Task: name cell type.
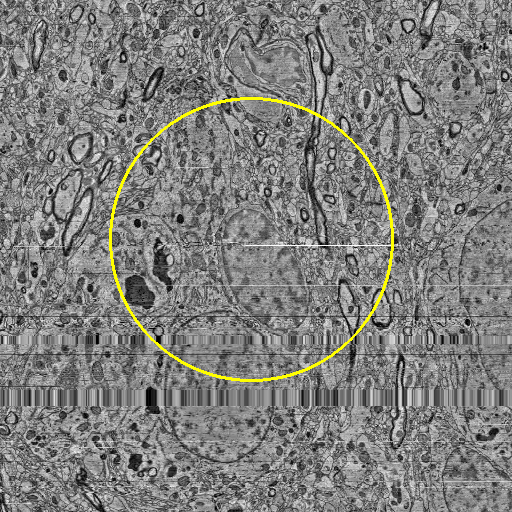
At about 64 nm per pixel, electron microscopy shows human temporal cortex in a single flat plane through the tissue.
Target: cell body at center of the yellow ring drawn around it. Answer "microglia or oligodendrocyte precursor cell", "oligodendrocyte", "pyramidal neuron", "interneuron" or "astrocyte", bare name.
oligodendrocyte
